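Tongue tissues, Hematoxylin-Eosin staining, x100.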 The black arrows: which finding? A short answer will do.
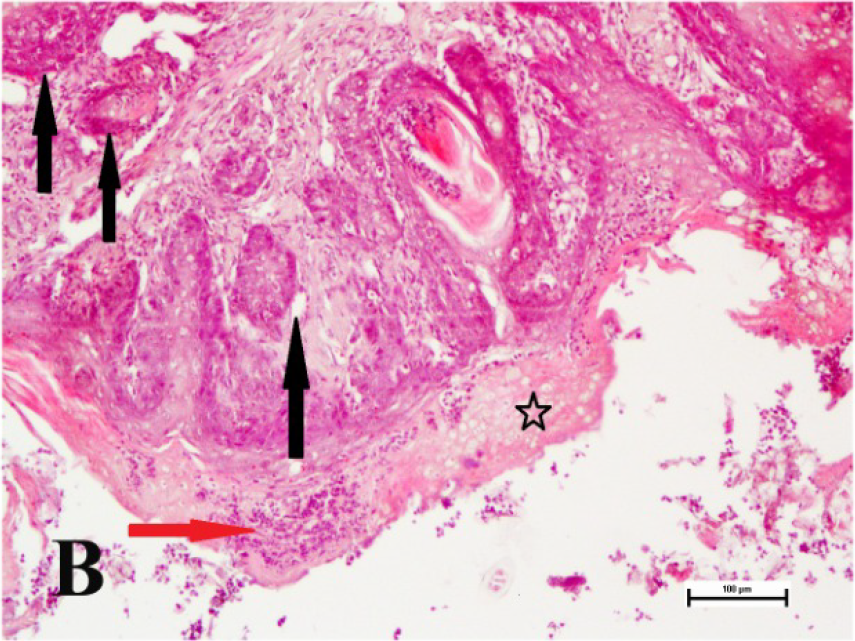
Tumoral areas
